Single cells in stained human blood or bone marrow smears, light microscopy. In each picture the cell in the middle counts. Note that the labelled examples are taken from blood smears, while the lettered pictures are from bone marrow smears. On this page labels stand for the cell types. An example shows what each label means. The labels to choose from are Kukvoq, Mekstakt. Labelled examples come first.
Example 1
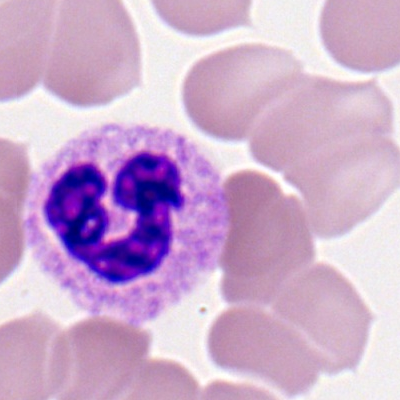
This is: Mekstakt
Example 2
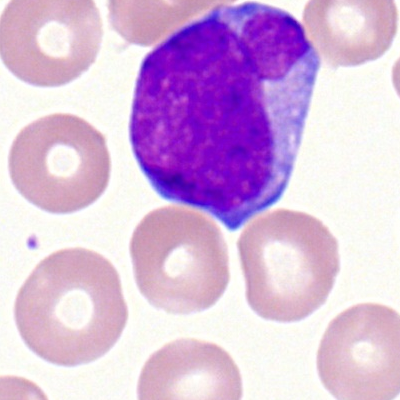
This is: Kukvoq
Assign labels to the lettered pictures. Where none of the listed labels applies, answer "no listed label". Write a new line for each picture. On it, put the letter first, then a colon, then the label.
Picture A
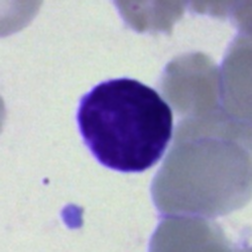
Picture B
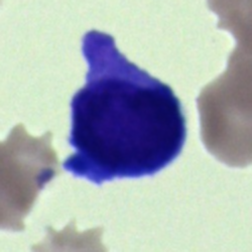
A: no listed label
B: Kukvoq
